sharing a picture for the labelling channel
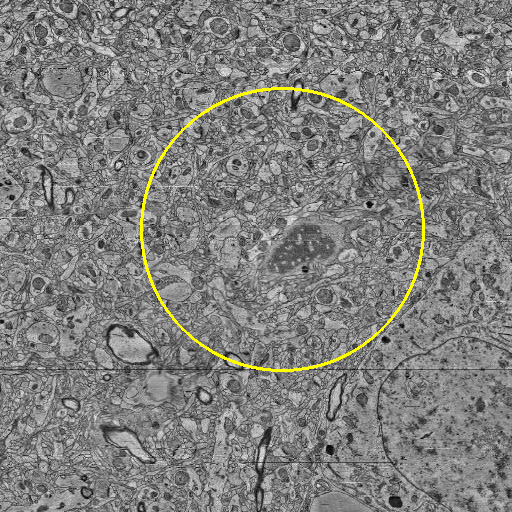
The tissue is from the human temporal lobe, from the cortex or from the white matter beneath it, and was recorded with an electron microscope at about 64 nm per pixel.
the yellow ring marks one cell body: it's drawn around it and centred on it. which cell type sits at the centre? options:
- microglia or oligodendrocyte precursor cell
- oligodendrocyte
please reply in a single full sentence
In the picture, the cell at the ring's centre is an oligodendrocyte, going by the list.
